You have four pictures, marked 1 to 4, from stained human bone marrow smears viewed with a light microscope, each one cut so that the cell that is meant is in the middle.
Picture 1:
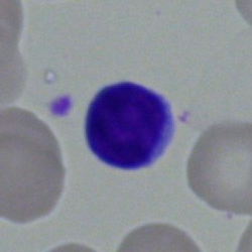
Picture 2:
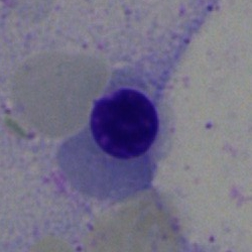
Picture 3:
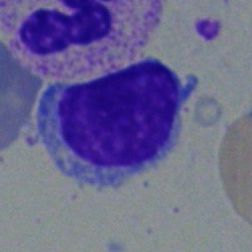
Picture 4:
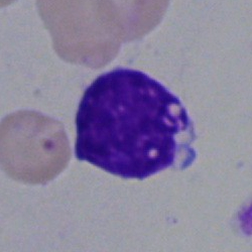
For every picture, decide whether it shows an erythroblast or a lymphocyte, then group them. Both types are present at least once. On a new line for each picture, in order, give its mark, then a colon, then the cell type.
1: lymphocyte
2: erythroblast
3: lymphocyte
4: lymphocyte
